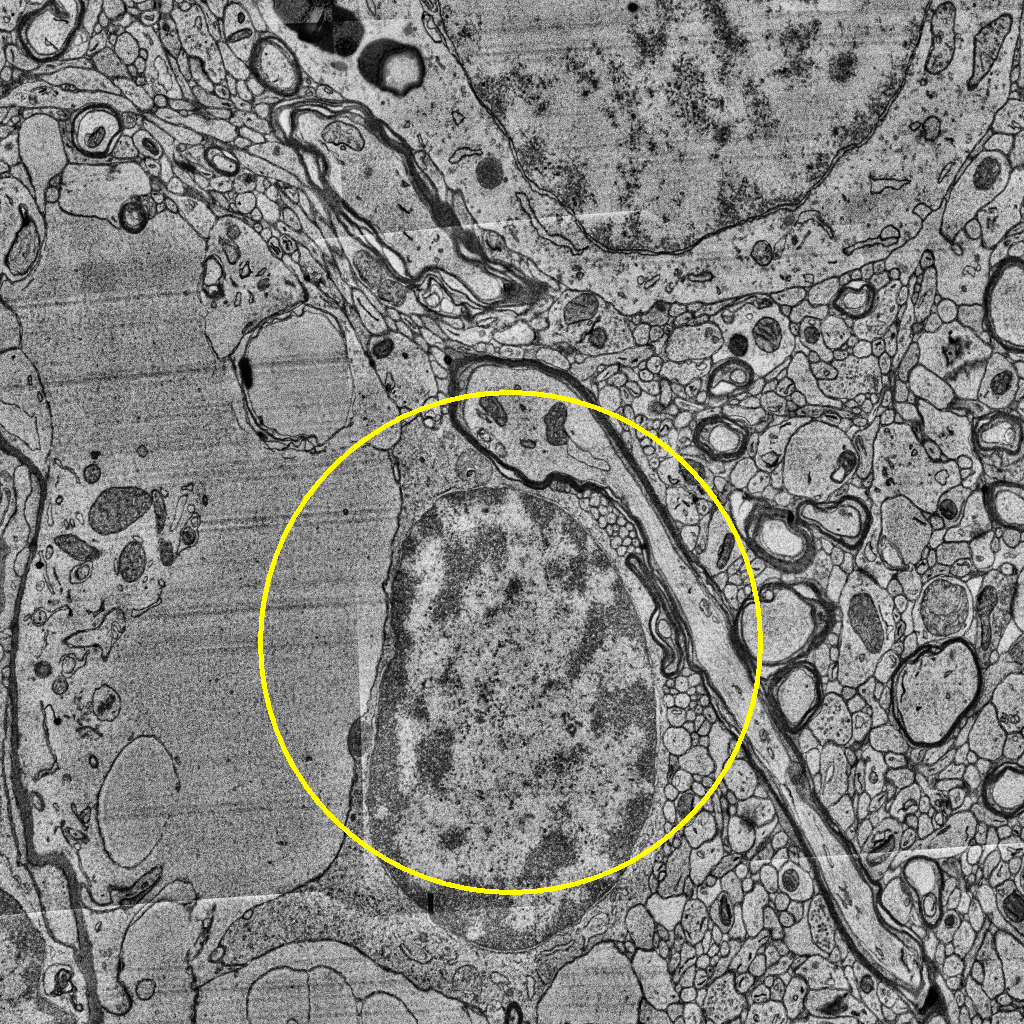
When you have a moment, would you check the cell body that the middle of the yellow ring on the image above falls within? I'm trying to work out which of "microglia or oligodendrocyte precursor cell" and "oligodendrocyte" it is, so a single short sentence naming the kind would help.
This cell body belongs to an oligodendrocyte.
